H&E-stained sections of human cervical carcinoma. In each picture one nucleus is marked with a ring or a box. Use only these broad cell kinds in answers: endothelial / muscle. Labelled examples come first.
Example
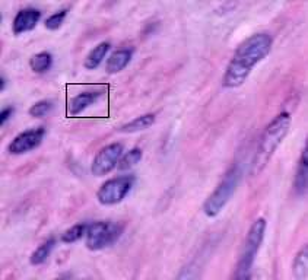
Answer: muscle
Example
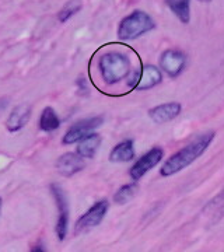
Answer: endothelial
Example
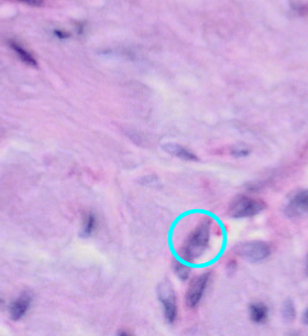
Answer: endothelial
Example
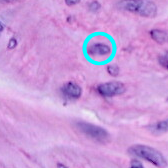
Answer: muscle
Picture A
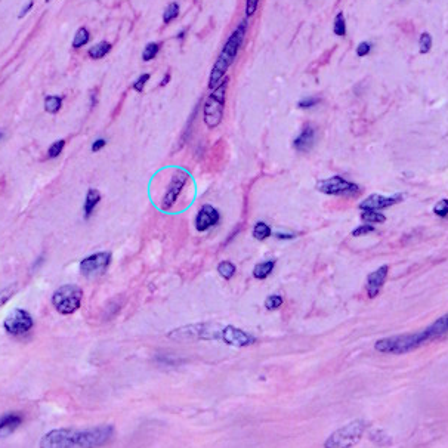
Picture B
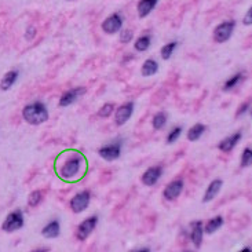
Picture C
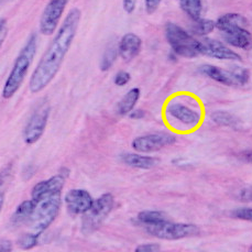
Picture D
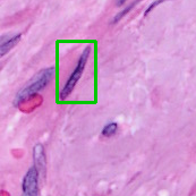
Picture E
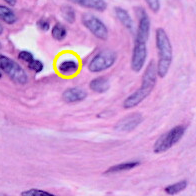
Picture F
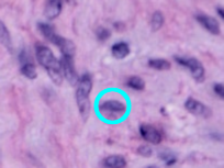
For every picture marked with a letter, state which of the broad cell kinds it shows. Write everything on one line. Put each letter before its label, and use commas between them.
A endothelial, B muscle, C muscle, D endothelial, E endothelial, F muscle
